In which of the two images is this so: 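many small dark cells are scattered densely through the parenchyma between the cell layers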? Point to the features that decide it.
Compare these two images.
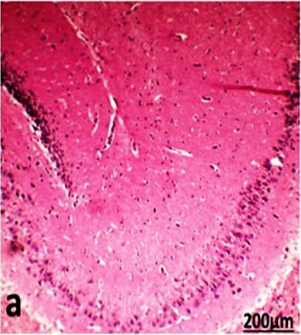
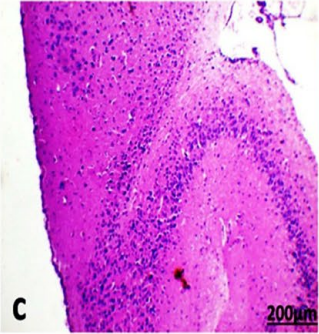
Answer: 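Second image: numerous small dark purple nuclei crowd the pink tissue between and around the cell bands. First image: the pink neuropil between the cell bands holds only sparse scattered nuclei. The answer: the second image.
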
